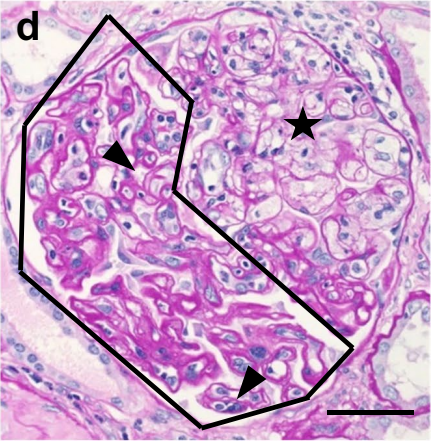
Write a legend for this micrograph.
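This is a glomerulus in which one segment of the capillary tuft is expanded by many foam cells with pale, bubbly cytoplasm that occlude the capillary lumina. The opposite segment shows crowded capillary loops with many nuclei inside them, consistent with glomerulitis. In that segment the magenta capillary walls show double contours. A thin Bowman's capsule encloses the tuft, with tubules alongside.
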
